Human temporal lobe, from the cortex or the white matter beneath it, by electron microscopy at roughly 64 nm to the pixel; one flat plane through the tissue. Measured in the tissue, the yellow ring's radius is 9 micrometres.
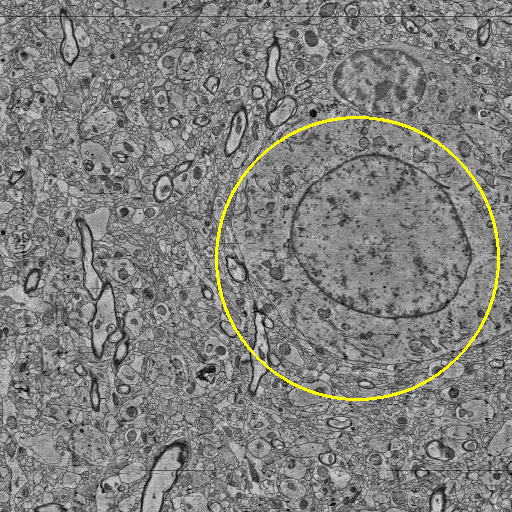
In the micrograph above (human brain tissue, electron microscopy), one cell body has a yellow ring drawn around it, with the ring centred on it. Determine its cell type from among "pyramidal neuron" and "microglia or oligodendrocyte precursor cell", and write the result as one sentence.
The cell whose body is ringed is a pyramidal neuron.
